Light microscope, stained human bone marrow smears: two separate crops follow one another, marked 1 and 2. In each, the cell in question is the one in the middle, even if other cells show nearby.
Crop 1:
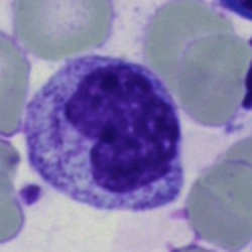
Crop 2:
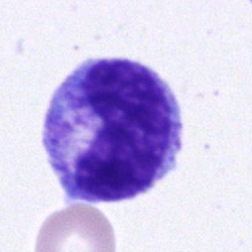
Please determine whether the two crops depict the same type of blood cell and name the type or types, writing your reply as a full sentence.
Yes, put down metamyelocytes for both crops.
